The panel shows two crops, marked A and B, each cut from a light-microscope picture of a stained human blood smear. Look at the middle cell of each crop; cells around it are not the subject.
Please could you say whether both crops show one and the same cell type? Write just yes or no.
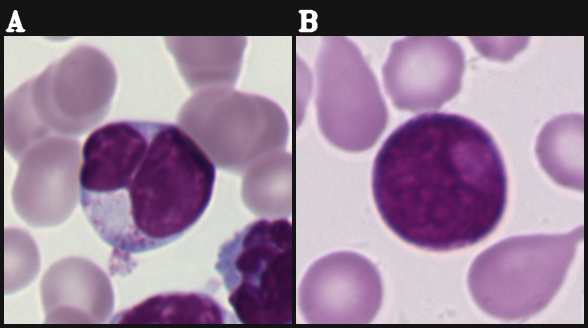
no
